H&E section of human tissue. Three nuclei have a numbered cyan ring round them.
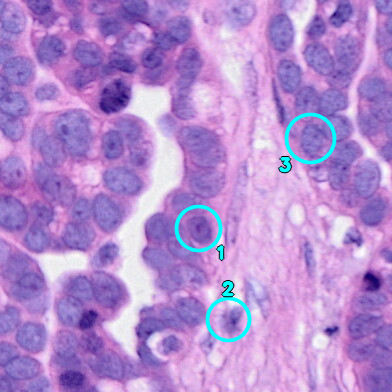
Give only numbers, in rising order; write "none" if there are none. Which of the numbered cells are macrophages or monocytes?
2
